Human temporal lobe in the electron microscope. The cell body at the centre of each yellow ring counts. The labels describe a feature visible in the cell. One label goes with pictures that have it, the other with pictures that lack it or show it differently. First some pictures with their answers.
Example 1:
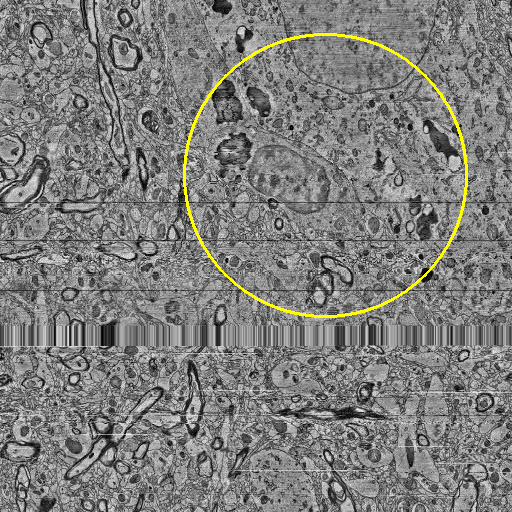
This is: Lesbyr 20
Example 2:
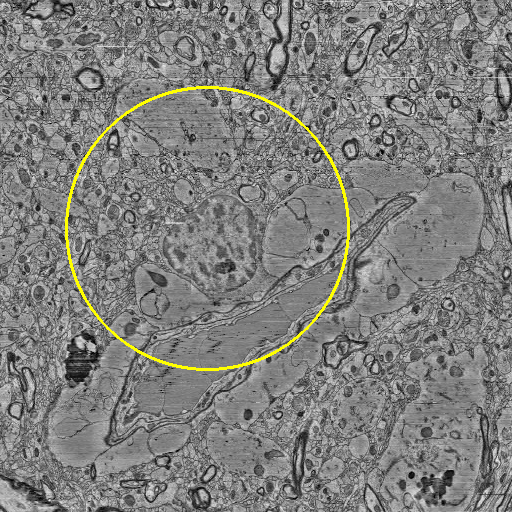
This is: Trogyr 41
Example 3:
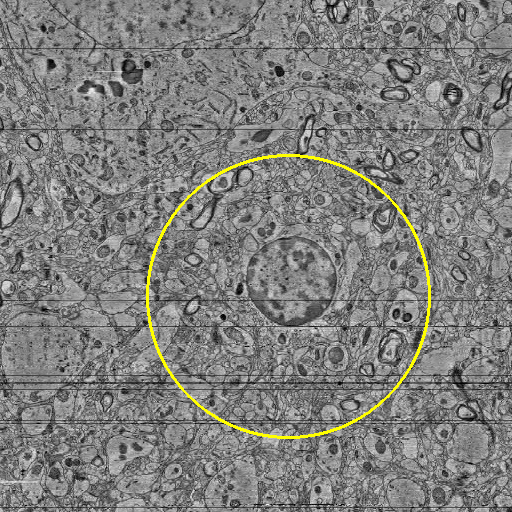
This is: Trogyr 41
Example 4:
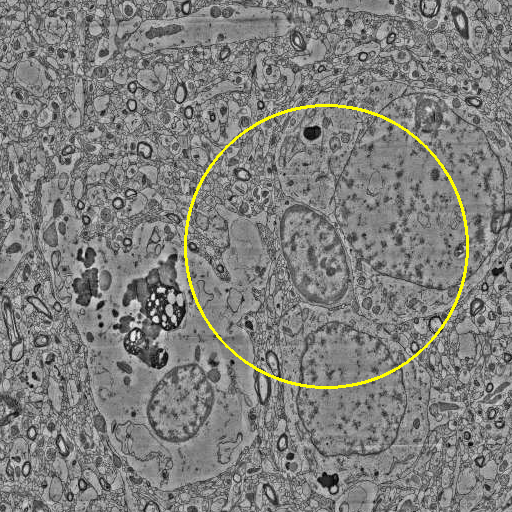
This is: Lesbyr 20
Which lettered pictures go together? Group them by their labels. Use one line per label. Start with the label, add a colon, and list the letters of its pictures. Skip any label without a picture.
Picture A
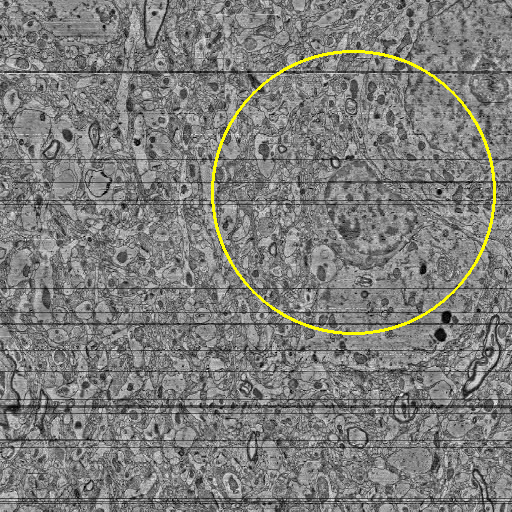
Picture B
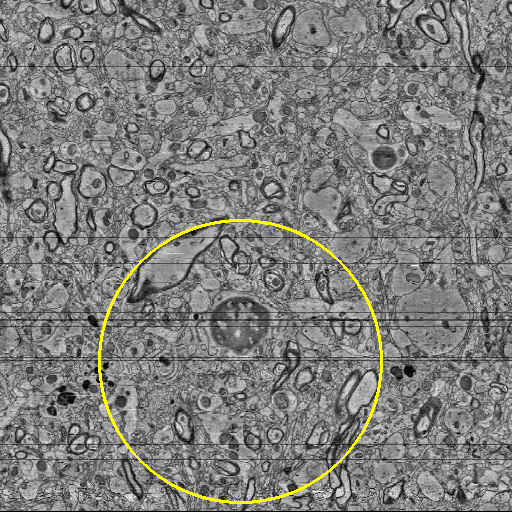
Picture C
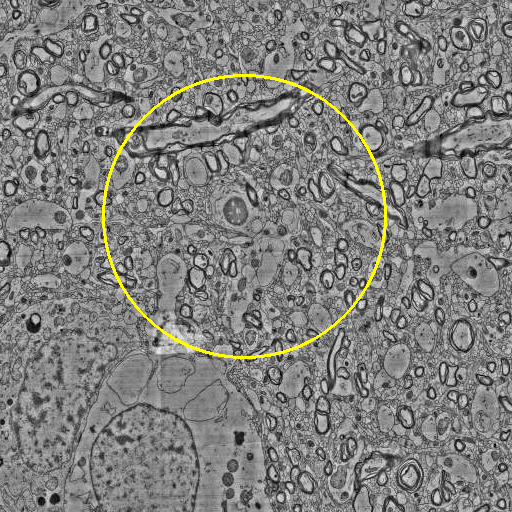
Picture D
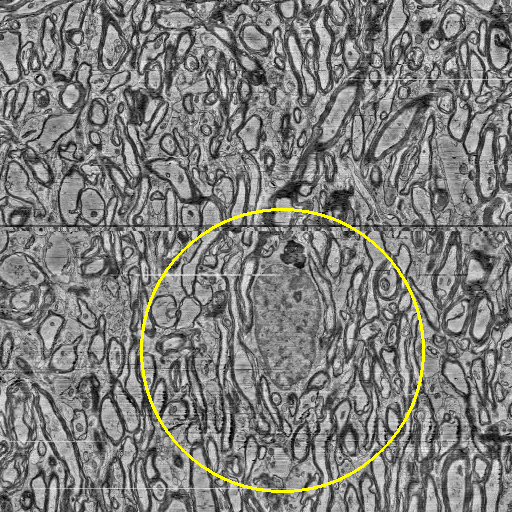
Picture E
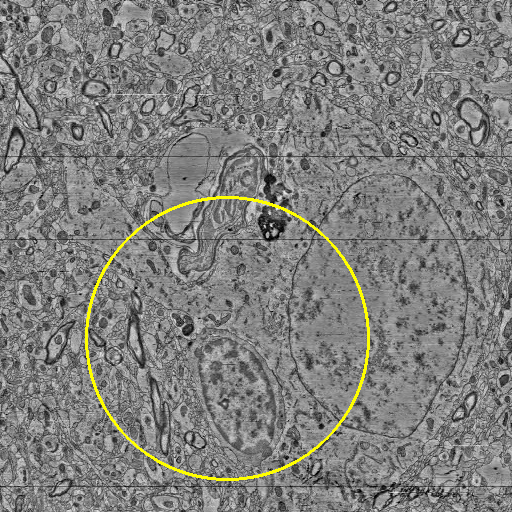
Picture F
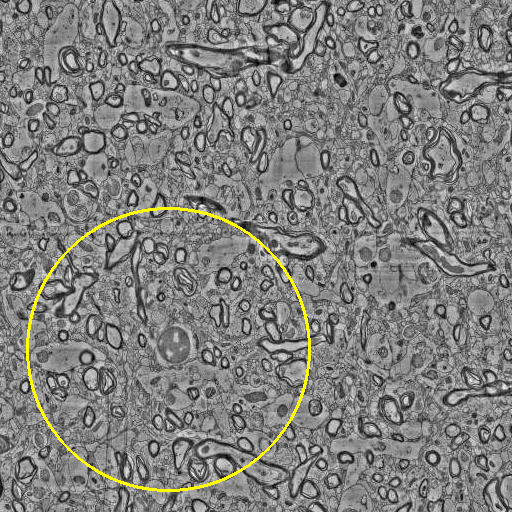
Lesbyr 20: D, E
Trogyr 41: A, B, C, F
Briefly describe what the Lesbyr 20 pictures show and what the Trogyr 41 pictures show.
In Lesbyr 20: clearly elongated nuclei. In Trogyr 41: round or nearly round nuclei.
